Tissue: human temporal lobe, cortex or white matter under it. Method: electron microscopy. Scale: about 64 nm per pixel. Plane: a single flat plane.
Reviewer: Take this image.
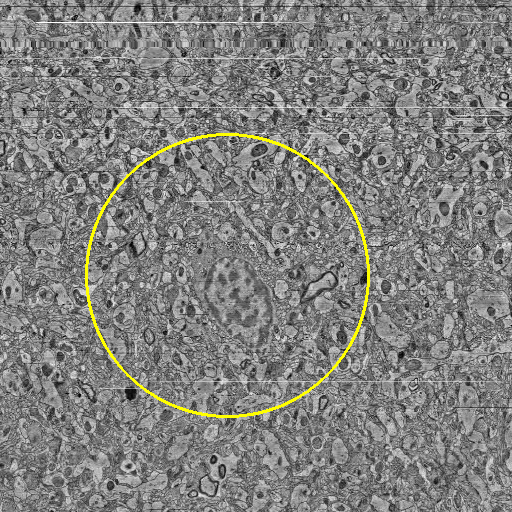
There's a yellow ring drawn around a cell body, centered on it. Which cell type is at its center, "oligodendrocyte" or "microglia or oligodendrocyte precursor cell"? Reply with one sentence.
At the center of the yellow ring is an oligodendrocyte.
